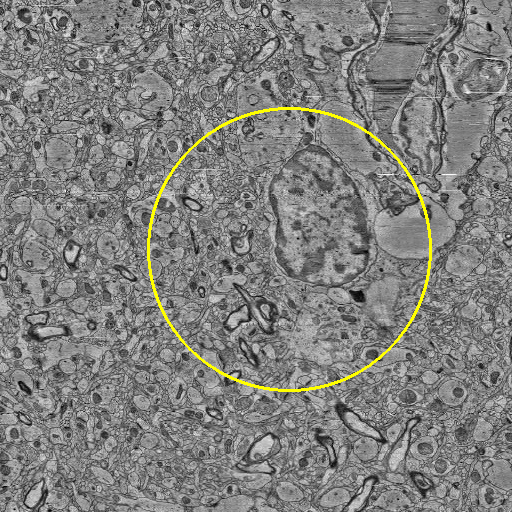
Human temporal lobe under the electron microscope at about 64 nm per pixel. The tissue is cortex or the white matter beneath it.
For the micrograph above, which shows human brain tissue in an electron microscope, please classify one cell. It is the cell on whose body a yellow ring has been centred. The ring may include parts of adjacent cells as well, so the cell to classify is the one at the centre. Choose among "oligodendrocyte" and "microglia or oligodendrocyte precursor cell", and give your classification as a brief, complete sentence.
I classify this cell as a microglial cell or oligodendrocyte precursor cell.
